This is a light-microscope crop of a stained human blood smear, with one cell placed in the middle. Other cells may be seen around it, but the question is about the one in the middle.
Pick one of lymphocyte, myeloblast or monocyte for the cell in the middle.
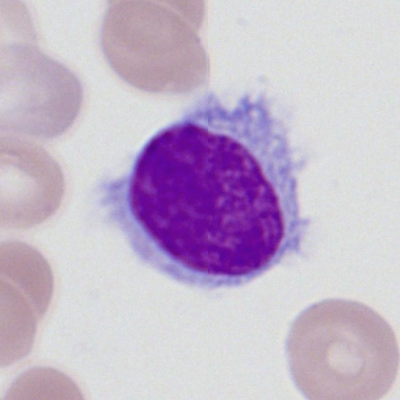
lymphocyte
